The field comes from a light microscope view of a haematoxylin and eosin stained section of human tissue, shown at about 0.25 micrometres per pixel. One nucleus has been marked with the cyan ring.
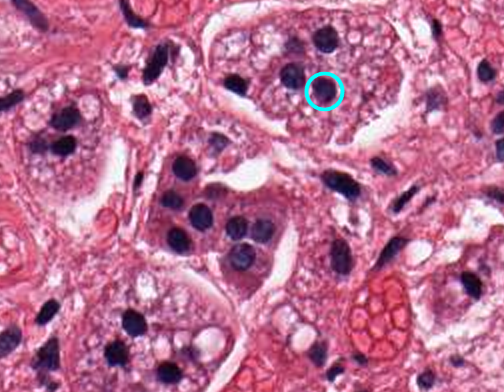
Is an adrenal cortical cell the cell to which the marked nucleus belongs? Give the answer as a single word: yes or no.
yes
